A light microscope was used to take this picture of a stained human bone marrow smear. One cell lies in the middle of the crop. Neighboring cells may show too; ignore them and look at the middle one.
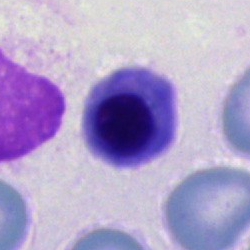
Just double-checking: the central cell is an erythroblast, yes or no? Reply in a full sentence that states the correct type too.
Yes, this central cell is an erythroblast.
